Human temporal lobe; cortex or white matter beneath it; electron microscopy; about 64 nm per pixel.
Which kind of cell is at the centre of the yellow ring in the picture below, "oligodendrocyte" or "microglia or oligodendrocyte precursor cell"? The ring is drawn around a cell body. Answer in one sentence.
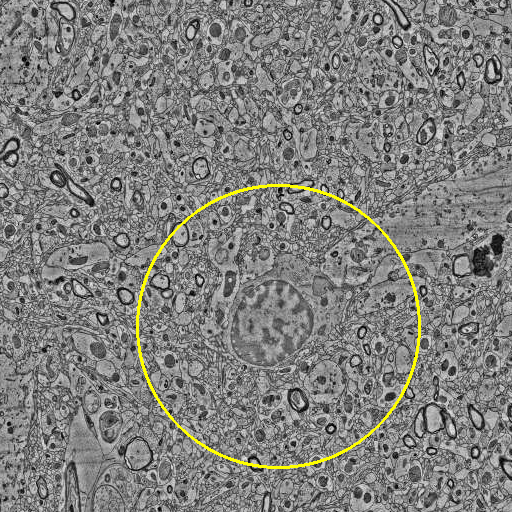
The ring's central cell is an oligodendrocyte.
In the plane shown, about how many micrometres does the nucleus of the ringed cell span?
The ringed cell's nucleus measures approximately 6 by 5 micrometres in this plane.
